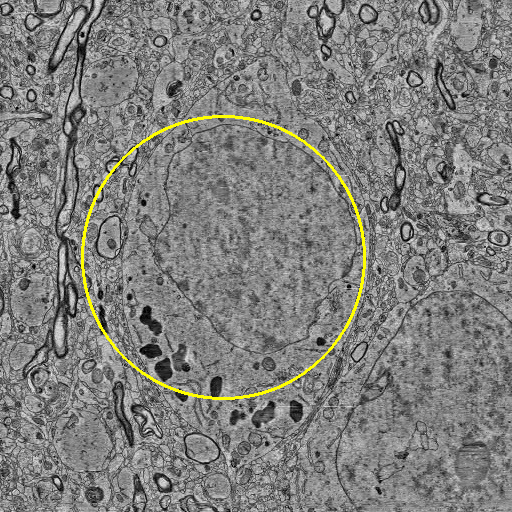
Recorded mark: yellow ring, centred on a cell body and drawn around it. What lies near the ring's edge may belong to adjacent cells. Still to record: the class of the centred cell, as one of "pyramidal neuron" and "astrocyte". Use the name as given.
pyramidal neuron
